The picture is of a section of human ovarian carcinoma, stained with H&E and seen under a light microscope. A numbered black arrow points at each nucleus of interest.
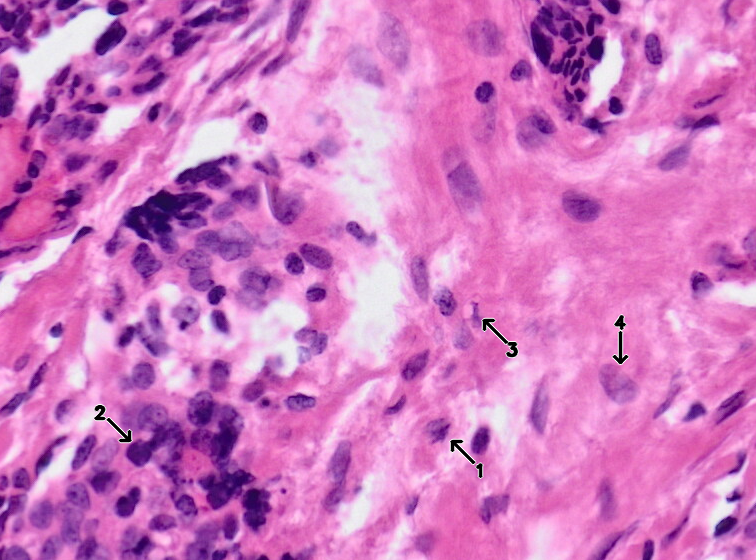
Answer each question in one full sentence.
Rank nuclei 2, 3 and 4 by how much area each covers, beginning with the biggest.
The nuclei rank 4, 2, 3, from largest to smallest.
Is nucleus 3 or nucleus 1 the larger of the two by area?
Nucleus 1 covers more area, about 2.5 times as much as nucleus 3.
